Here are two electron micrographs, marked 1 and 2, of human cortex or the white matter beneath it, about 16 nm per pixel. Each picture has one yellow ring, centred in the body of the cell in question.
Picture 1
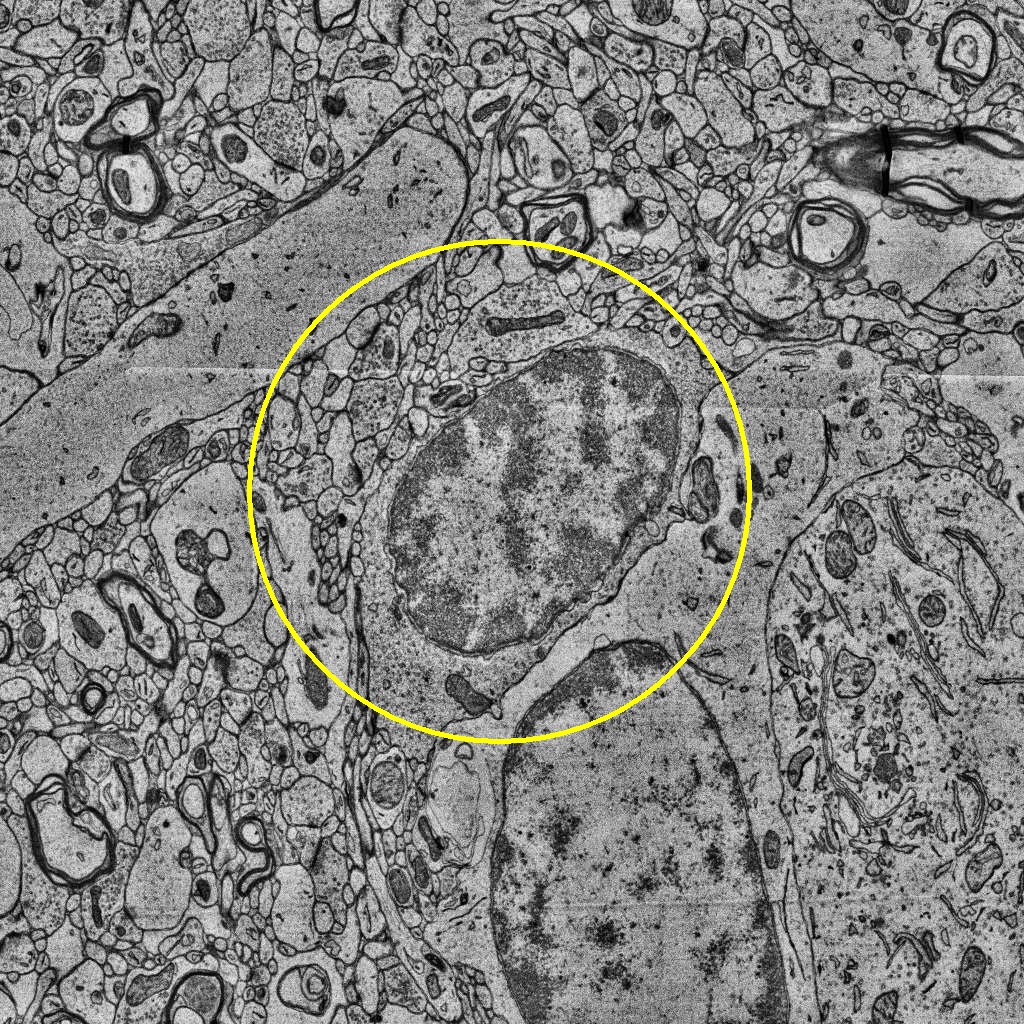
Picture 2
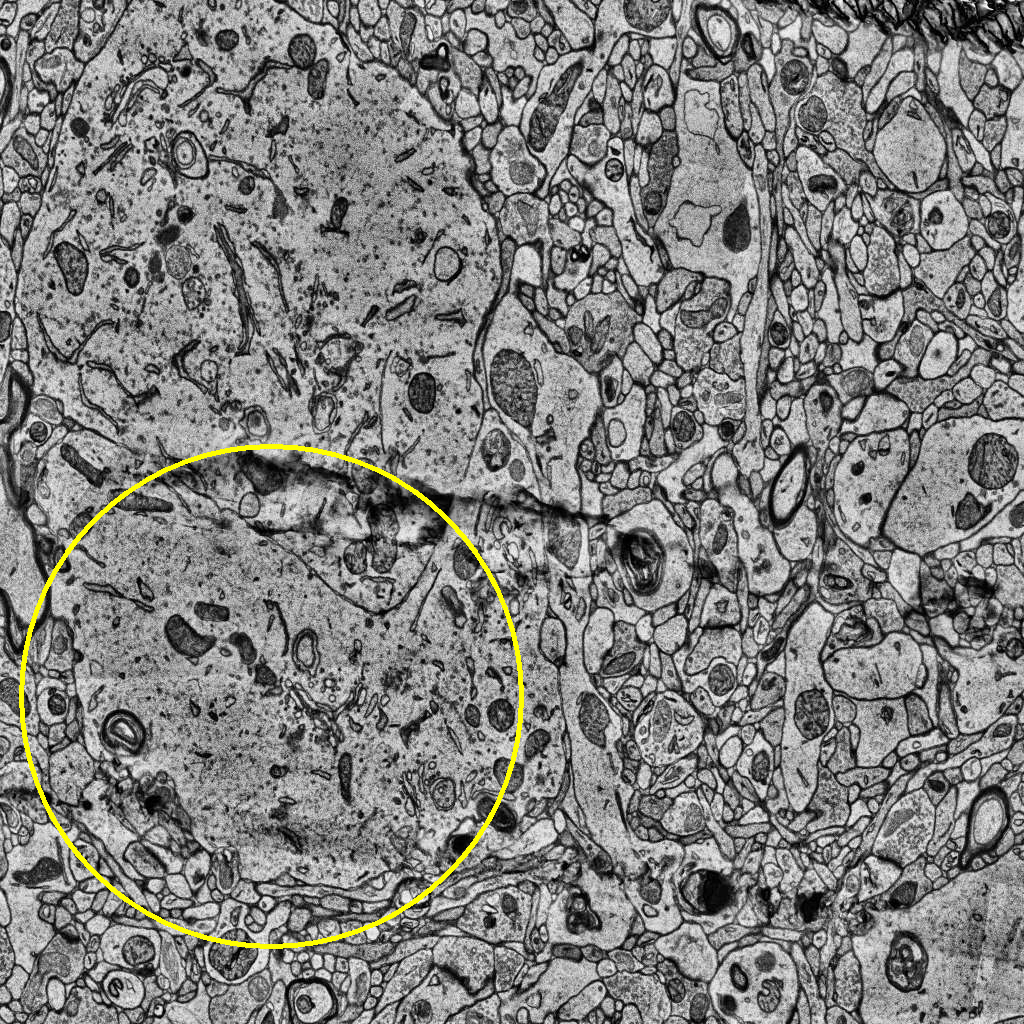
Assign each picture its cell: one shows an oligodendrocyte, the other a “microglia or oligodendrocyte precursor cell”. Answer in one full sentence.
It is picture 1 that shows an oligodendrocyte, and picture 2 that shows a “microglia or oligodendrocyte precursor cell”.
